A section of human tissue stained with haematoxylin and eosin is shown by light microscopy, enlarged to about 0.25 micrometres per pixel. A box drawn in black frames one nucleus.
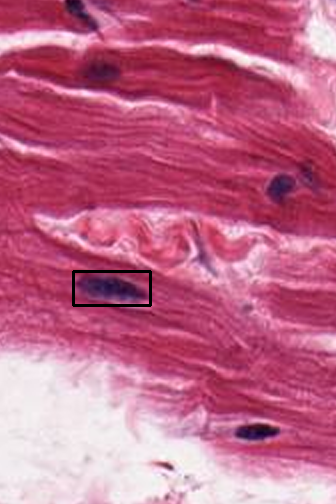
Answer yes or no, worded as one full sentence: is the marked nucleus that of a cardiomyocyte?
Yes, the nucleus picked out by the mark belongs to a cardiomyocyte.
